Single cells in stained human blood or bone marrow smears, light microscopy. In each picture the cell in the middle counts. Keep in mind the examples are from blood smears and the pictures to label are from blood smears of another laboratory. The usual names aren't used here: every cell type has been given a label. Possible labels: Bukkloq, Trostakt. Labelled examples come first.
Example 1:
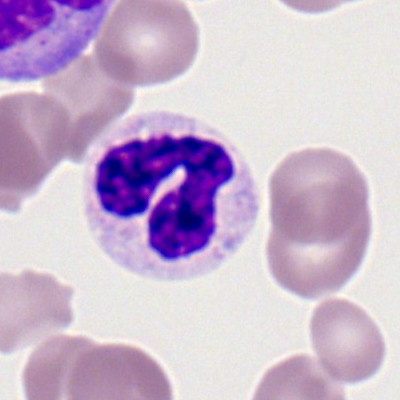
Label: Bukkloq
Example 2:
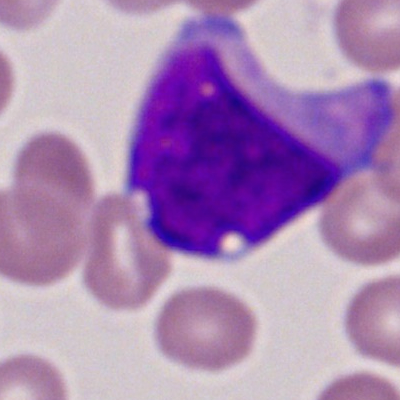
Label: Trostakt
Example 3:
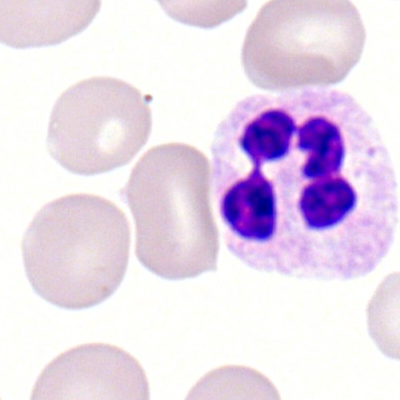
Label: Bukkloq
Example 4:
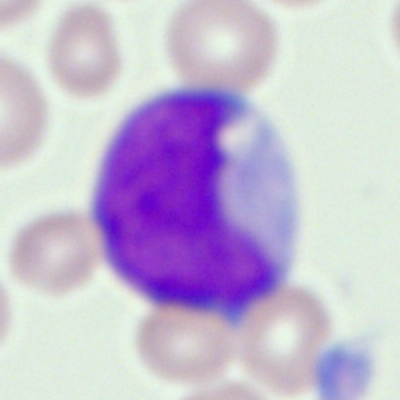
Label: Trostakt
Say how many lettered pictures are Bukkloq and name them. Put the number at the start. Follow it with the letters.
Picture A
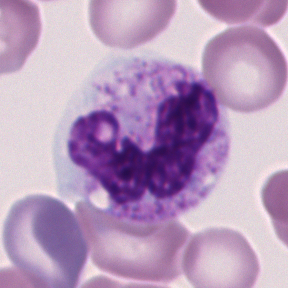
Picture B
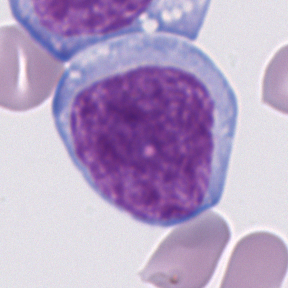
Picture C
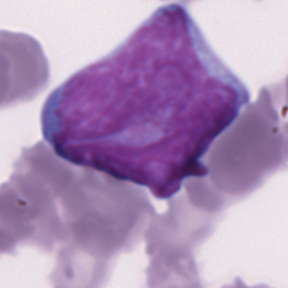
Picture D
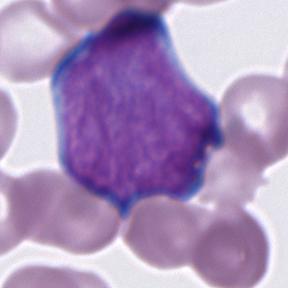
1, namely A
